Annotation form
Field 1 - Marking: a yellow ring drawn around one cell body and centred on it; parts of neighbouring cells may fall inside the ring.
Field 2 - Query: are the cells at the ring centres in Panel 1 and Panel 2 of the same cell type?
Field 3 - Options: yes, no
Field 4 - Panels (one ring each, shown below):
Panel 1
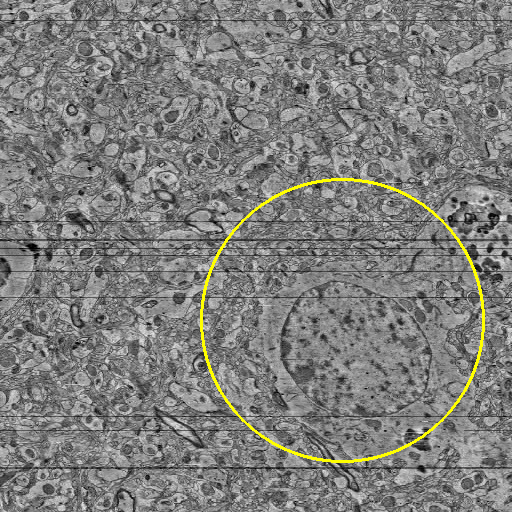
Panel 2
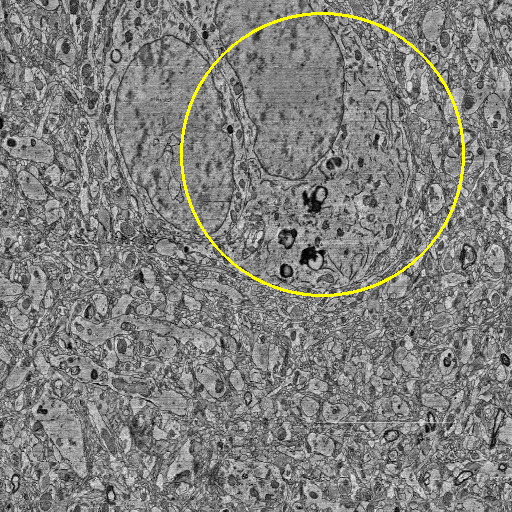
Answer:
no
